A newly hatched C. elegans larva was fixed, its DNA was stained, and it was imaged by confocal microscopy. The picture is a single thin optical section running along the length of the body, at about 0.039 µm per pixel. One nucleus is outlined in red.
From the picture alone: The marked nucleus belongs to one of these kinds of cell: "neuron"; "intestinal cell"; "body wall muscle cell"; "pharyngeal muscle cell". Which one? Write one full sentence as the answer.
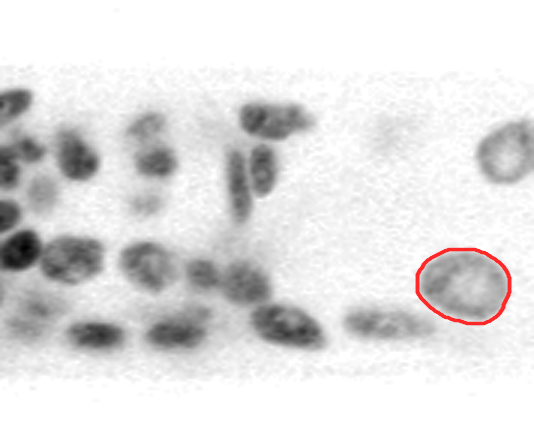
The marked cell is an intestinal cell.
